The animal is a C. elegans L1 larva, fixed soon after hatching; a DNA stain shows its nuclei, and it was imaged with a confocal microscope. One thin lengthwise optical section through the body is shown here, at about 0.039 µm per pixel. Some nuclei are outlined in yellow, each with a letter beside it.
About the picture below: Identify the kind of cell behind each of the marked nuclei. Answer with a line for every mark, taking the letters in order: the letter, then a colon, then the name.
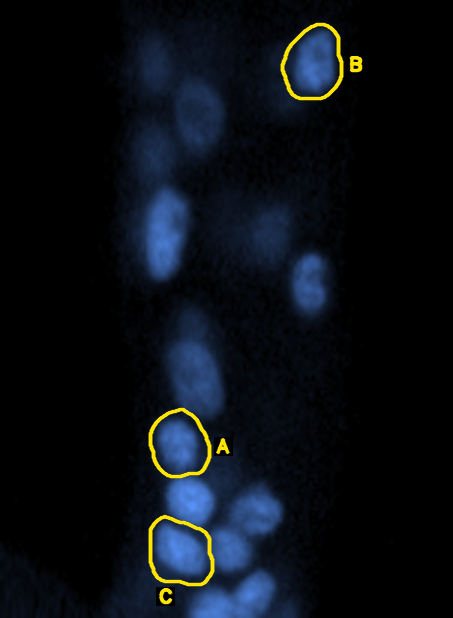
A: neuron
B: body wall muscle cell
C: neuron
